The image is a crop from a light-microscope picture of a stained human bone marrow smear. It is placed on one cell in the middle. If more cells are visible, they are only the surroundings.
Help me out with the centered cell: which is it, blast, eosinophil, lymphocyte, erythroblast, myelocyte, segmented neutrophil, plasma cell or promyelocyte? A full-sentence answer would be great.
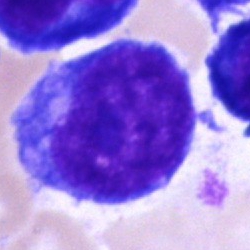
The cell of interest, located centrally, is a blast.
